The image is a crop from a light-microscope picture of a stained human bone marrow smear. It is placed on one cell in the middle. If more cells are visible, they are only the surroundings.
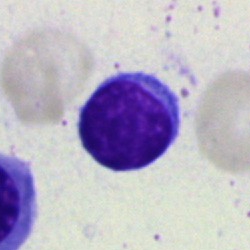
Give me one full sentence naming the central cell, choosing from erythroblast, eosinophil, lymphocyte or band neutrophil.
Located at the centre of the crop is a lymphocyte.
